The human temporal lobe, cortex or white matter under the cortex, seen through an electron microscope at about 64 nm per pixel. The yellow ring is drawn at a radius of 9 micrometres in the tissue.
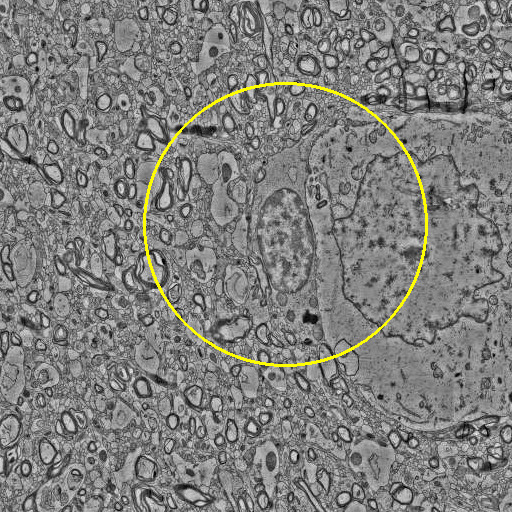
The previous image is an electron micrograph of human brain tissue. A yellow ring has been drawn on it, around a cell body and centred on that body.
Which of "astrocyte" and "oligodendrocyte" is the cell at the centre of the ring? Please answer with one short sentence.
The cell body at the centre of the ring belongs to an oligodendrocyte.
